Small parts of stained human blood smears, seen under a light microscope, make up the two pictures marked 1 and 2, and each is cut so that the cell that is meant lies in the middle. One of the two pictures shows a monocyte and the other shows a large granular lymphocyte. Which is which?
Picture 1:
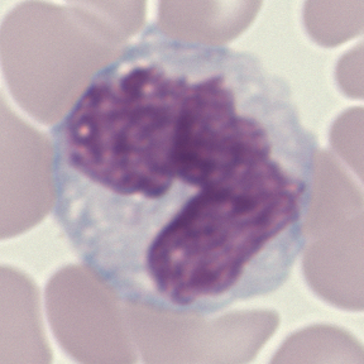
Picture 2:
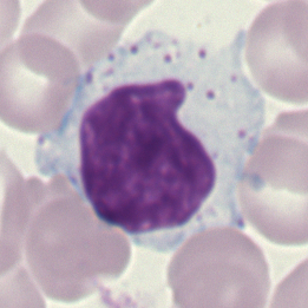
1: monocyte
2: large granular lymphocyte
